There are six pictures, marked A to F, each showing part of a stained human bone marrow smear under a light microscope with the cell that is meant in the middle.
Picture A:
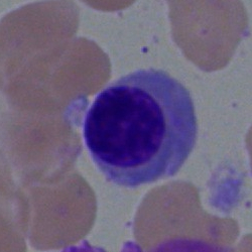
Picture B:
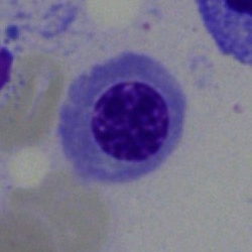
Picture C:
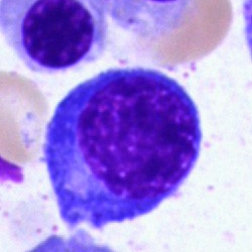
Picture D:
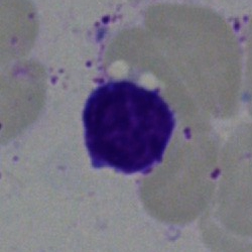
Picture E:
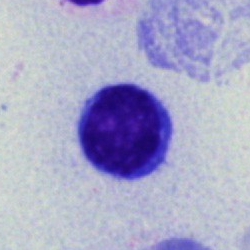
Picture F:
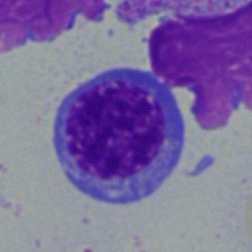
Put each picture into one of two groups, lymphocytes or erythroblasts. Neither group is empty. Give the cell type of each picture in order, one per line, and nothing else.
erythroblast
erythroblast
erythroblast
lymphocyte
lymphocyte
erythroblast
